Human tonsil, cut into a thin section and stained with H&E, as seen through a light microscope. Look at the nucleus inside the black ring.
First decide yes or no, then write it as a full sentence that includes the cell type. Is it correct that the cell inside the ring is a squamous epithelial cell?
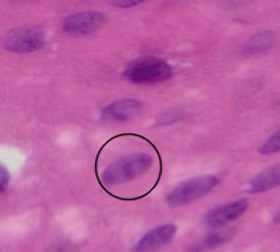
Yes, the cell inside the ring is identified as a squamous epithelial cell in this section.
